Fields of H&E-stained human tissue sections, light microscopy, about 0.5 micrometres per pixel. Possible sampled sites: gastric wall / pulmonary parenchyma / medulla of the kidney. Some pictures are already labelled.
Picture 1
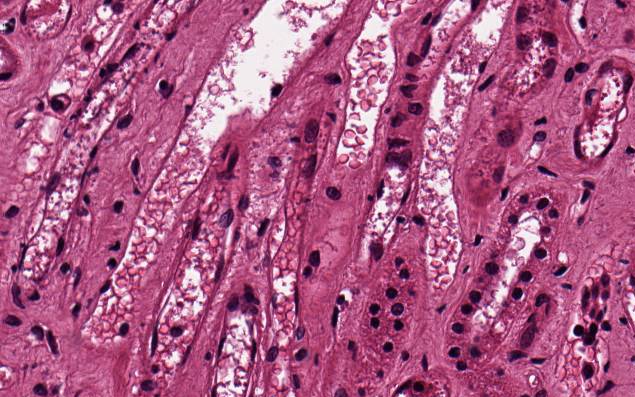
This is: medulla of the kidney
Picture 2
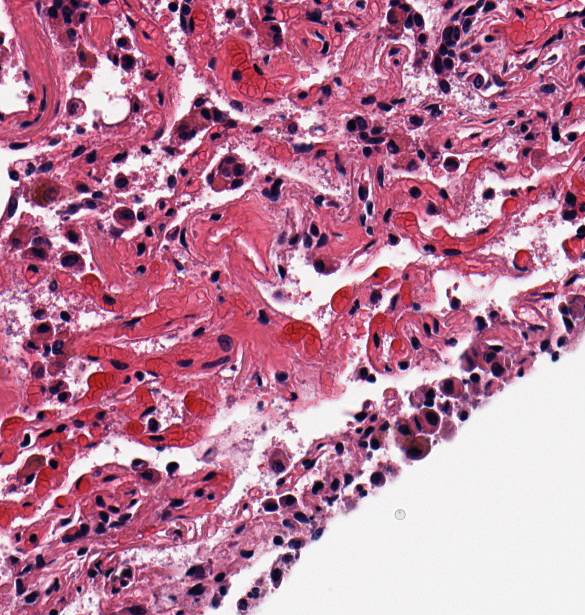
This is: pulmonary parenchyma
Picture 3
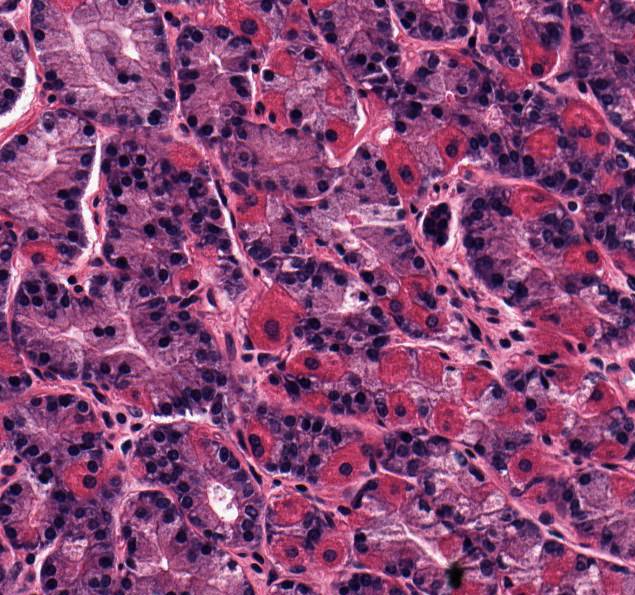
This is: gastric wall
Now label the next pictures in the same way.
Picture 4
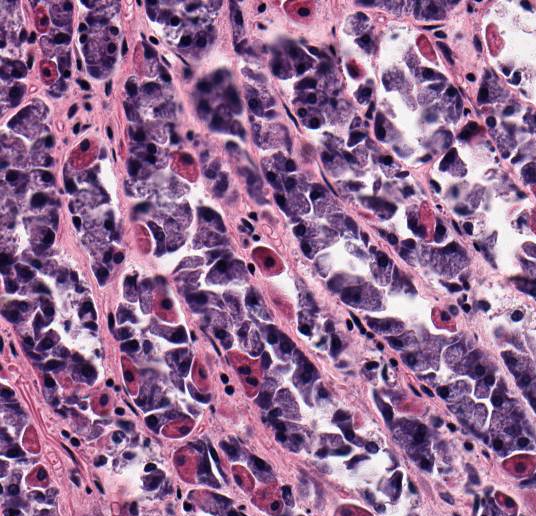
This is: gastric wall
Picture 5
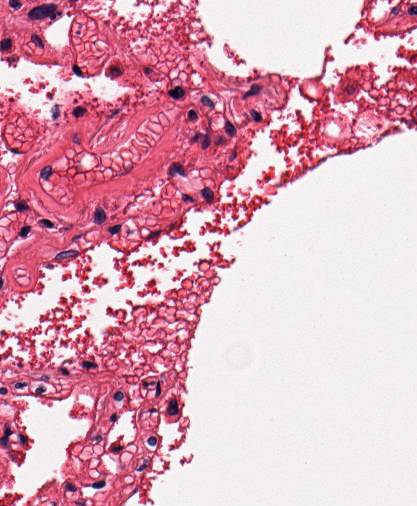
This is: pulmonary parenchyma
